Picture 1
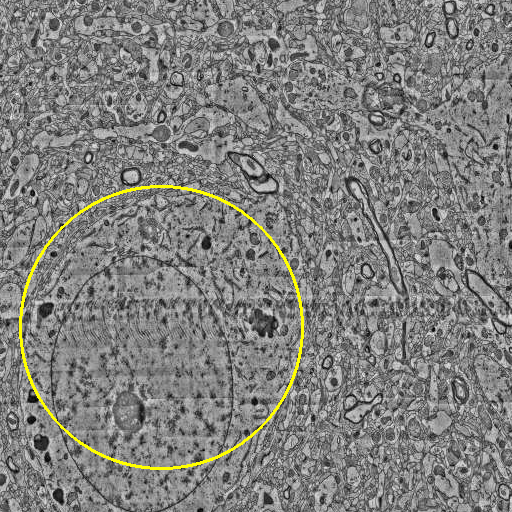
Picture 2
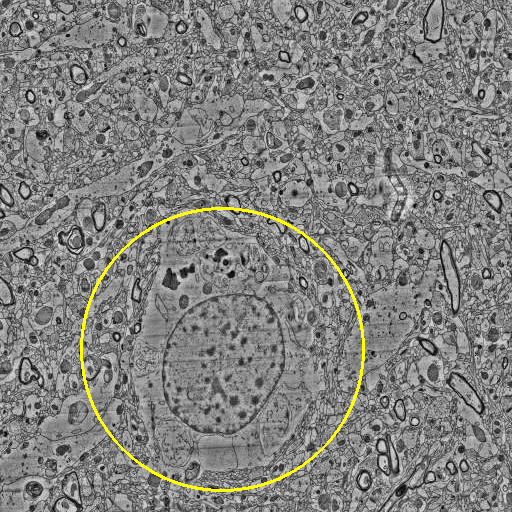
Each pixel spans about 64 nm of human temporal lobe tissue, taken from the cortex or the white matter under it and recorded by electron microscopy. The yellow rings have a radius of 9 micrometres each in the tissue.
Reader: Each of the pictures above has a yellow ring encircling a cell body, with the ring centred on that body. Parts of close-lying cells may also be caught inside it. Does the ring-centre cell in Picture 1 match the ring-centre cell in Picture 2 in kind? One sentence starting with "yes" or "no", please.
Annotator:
No, Picture 1 and Picture 2 show ring-centre cells of two kinds.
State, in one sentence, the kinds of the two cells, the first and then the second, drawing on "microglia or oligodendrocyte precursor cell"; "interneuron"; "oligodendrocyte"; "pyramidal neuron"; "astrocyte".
The ring in the second picture is centred on an astrocyte, the ring in the first on a pyramidal neuron.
